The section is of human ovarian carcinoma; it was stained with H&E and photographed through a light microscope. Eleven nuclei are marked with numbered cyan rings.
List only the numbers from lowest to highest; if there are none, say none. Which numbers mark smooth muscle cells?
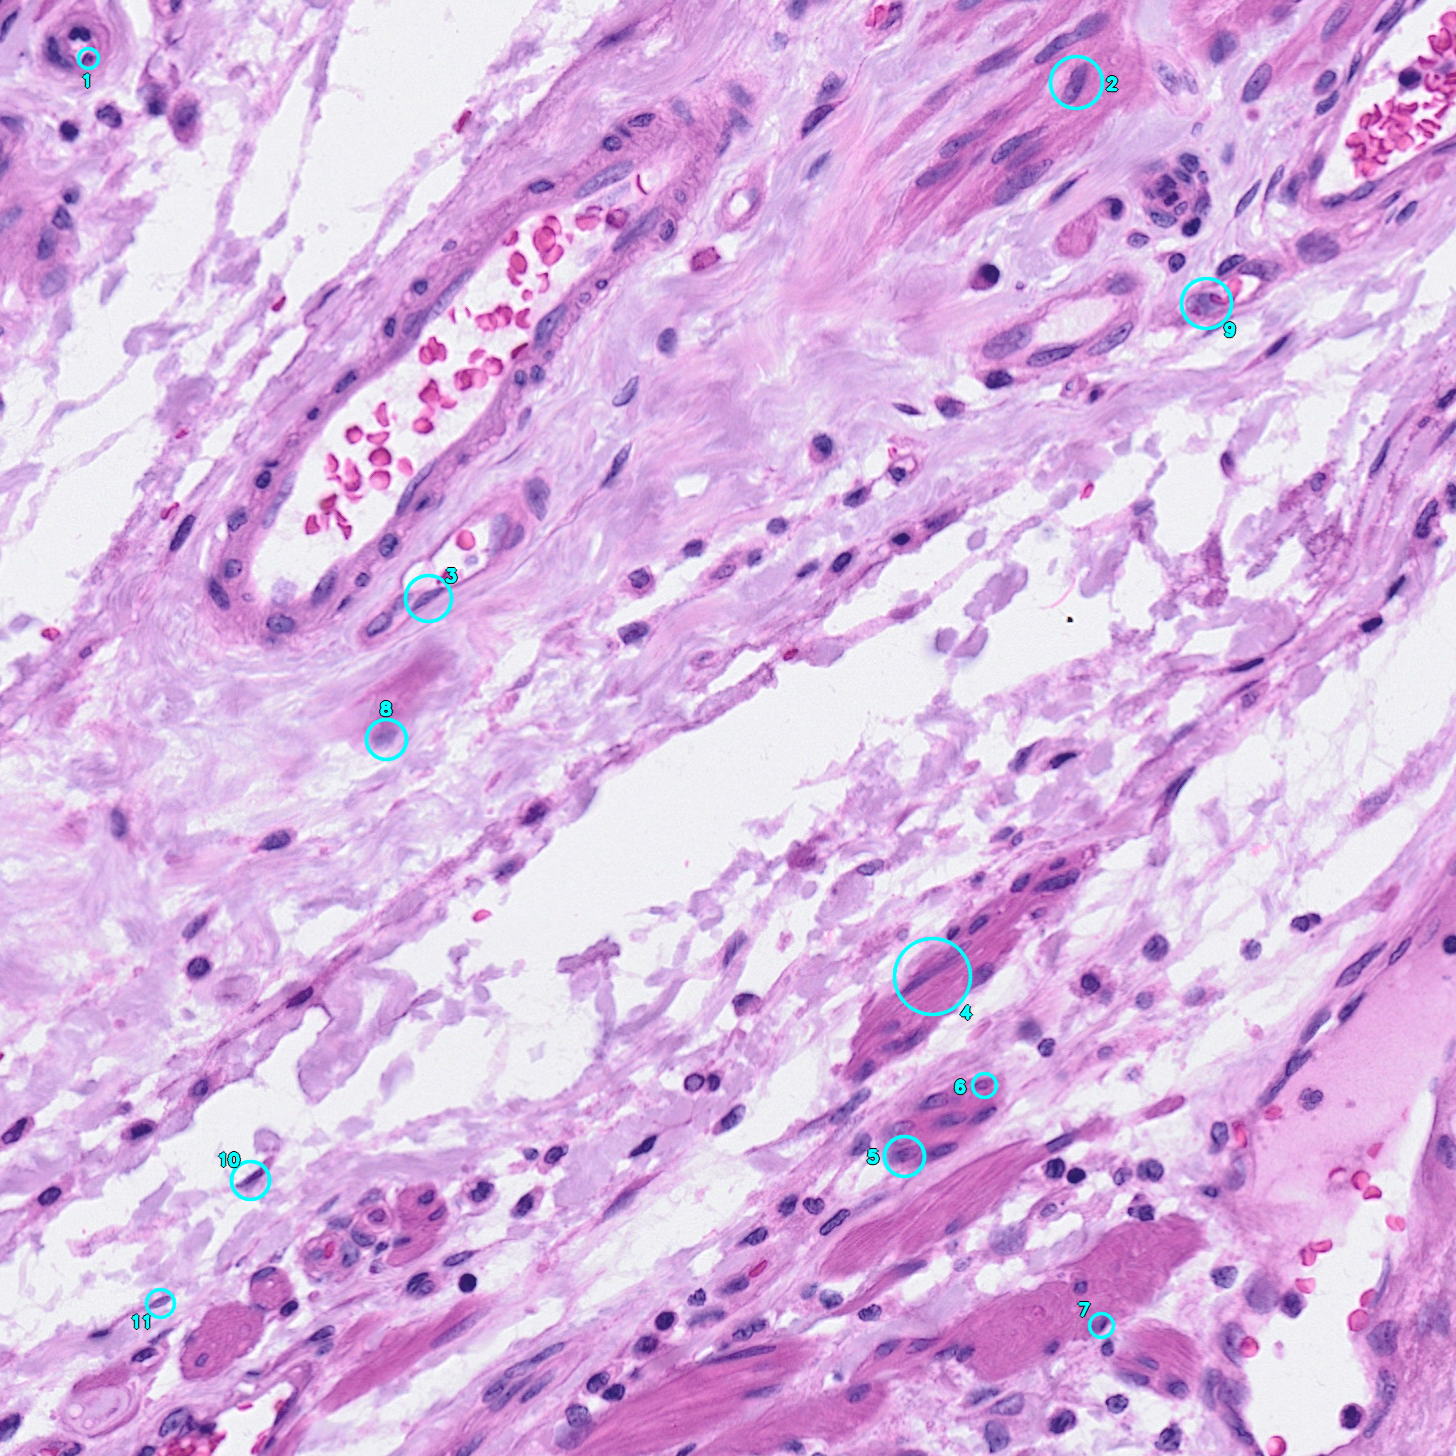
2, 4, 5, 6, 7, 8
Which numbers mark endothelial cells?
1, 3, 9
